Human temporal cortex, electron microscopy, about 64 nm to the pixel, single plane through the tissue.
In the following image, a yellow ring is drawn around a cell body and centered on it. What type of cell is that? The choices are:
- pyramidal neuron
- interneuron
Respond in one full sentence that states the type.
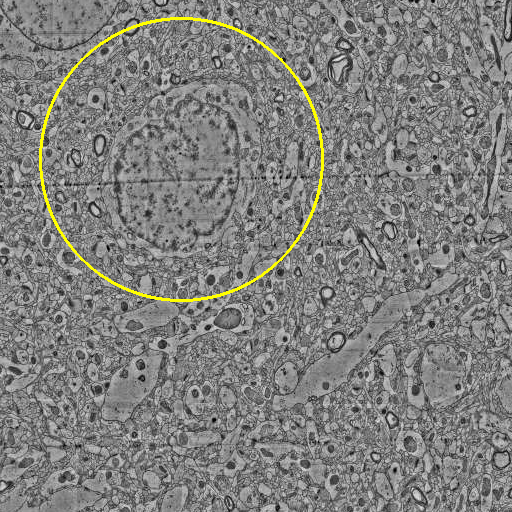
The cell at the center of the yellow ring in the image is an interneuron.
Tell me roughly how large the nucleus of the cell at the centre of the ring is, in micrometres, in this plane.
In this plane, roughly 10 by 8 micrometres.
